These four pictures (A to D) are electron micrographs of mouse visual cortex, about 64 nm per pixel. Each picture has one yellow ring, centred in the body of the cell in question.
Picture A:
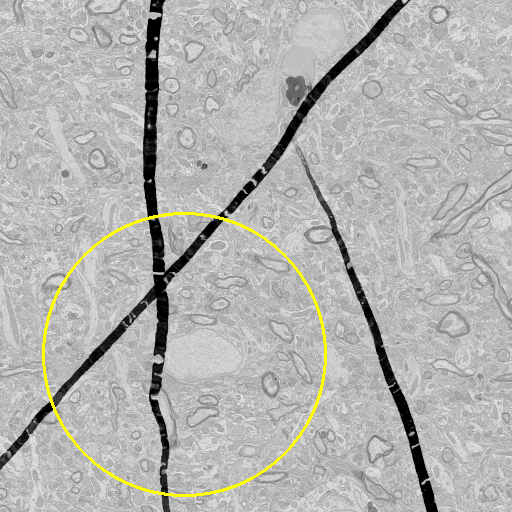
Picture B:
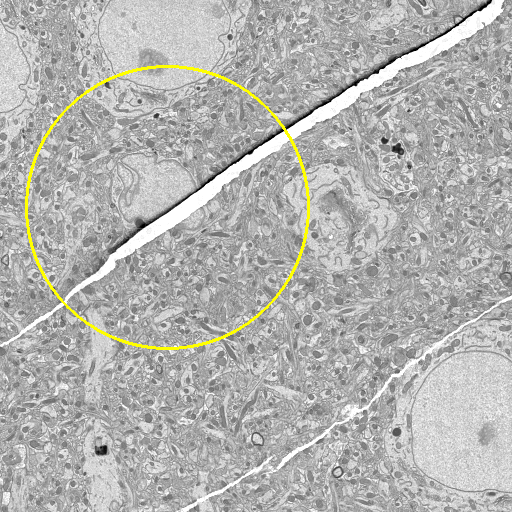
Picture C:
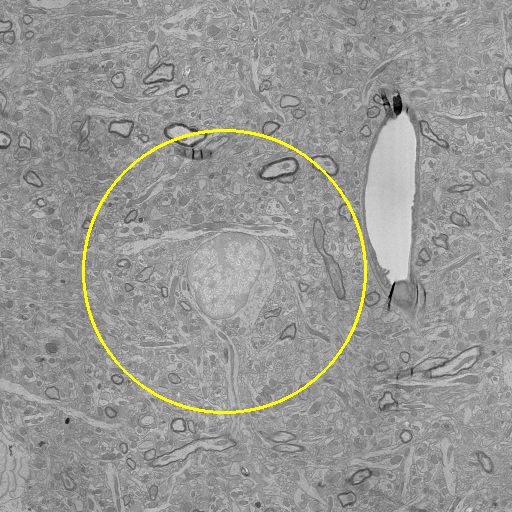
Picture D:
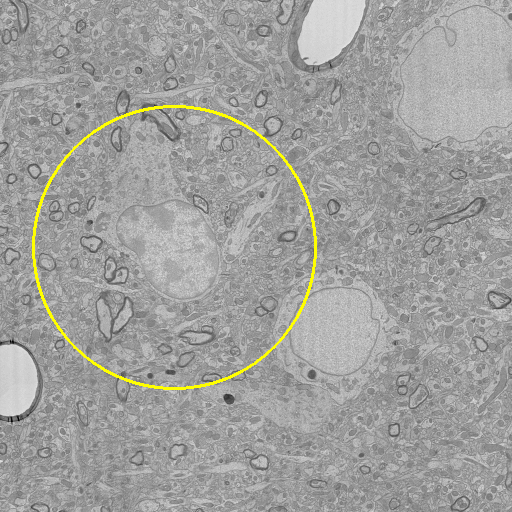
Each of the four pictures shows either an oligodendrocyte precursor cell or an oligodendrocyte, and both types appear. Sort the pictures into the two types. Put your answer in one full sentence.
Pictures A and B show oligodendrocyte precursor cells; pictures C and D show oligodendrocytes.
